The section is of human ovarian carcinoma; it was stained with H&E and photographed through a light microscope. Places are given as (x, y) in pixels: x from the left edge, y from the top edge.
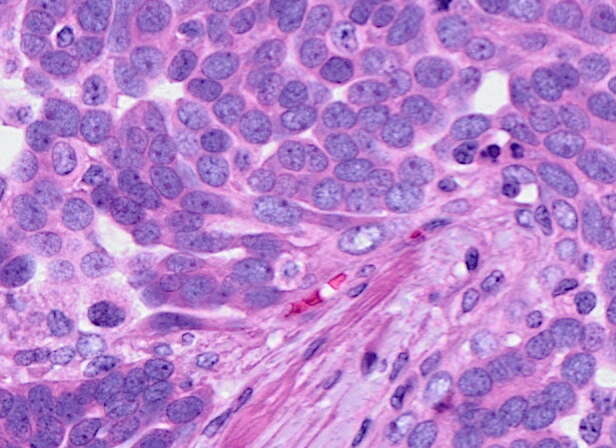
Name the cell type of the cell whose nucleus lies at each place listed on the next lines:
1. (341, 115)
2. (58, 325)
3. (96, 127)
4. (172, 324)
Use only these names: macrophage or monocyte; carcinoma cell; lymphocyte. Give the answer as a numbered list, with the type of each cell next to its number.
1. carcinoma cell
2. macrophage or monocyte
3. carcinoma cell
4. carcinoma cell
